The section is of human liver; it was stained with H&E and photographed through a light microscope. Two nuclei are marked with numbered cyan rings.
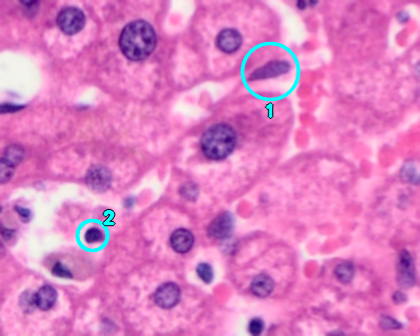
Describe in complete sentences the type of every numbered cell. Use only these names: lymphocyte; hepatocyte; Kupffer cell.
Cell 1 is a Kupffer cell. Cell 2 is a lymphocyte.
